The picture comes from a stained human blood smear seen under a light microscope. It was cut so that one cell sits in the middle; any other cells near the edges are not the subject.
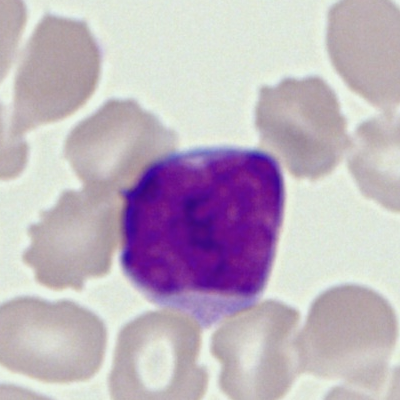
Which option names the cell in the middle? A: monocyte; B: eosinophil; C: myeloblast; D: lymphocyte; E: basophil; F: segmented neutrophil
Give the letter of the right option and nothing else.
C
